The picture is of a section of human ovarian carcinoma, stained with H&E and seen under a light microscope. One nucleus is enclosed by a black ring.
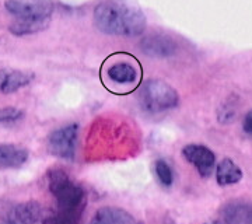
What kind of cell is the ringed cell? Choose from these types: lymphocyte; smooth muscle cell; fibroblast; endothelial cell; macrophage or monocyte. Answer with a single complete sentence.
At the level of cell identity, the ringed cell is a lymphocyte.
